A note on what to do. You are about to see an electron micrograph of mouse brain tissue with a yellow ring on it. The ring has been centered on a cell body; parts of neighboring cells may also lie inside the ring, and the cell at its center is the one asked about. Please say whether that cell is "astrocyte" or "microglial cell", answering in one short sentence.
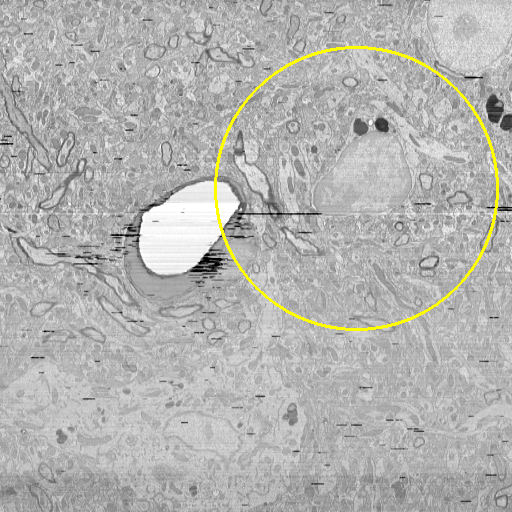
The yellow ring sits on a microglial cell.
